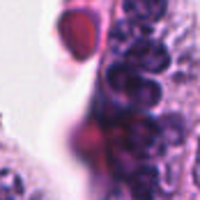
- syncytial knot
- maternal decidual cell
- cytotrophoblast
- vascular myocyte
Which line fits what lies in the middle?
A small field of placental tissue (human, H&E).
syncytial knot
